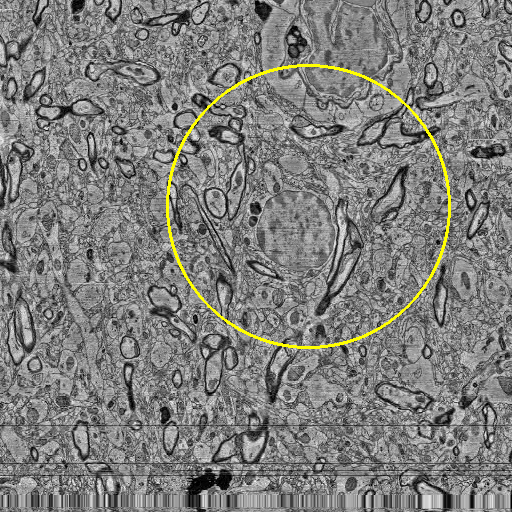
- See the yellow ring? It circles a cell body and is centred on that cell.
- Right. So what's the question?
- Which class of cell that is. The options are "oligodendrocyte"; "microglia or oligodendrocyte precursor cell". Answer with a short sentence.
The centre of the ring holds a microglial cell or oligodendrocyte precursor cell.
